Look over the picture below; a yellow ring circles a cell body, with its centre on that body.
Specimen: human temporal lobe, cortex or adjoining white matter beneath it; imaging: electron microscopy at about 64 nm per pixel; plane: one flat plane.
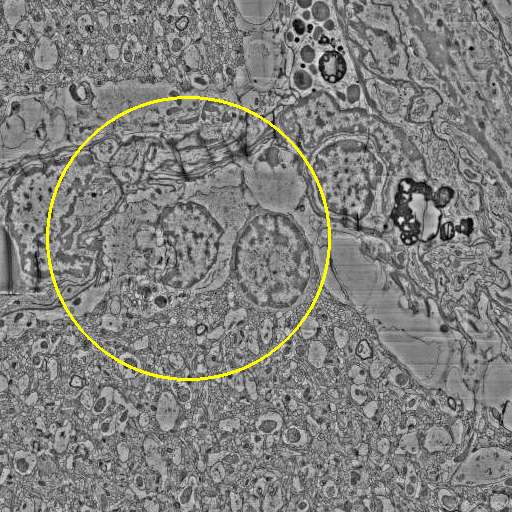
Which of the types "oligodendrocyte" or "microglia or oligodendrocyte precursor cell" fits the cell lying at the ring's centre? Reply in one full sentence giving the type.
The picture shows a microglial cell or oligodendrocyte precursor cell at the centre of the yellow ring.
